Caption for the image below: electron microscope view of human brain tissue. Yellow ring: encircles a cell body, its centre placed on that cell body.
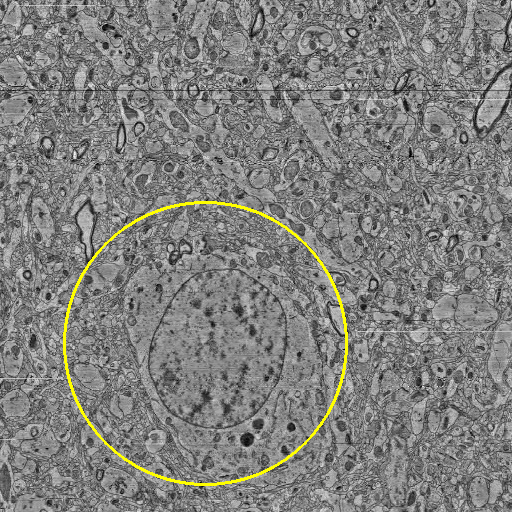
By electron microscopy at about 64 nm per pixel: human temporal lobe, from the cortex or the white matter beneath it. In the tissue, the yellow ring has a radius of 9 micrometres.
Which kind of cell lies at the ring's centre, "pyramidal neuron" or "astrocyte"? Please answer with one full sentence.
The picture shows a pyramidal neuron at the centre of the yellow ring.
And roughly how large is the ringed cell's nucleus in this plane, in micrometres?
The nucleus measures about 11 by 9 micrometres in this plane.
